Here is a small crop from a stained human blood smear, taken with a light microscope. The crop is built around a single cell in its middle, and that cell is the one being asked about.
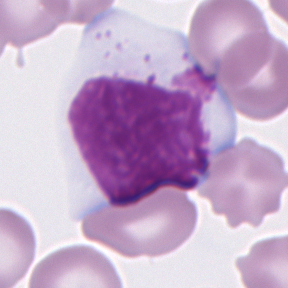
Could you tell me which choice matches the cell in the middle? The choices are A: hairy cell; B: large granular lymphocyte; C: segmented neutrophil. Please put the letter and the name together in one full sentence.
Option B is the keyed answer: the cell in the middle is a large granular lymphocyte.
